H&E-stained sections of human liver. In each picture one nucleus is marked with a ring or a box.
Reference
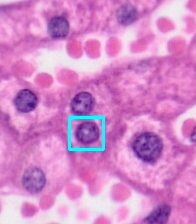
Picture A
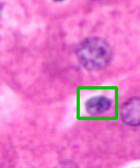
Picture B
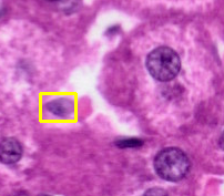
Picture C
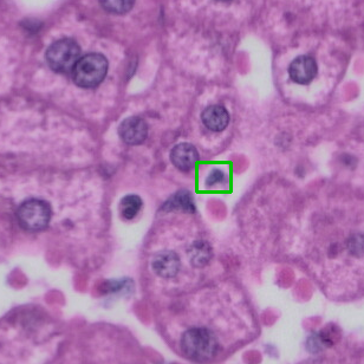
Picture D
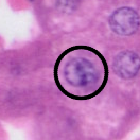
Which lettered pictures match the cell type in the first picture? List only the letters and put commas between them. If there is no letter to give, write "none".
D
